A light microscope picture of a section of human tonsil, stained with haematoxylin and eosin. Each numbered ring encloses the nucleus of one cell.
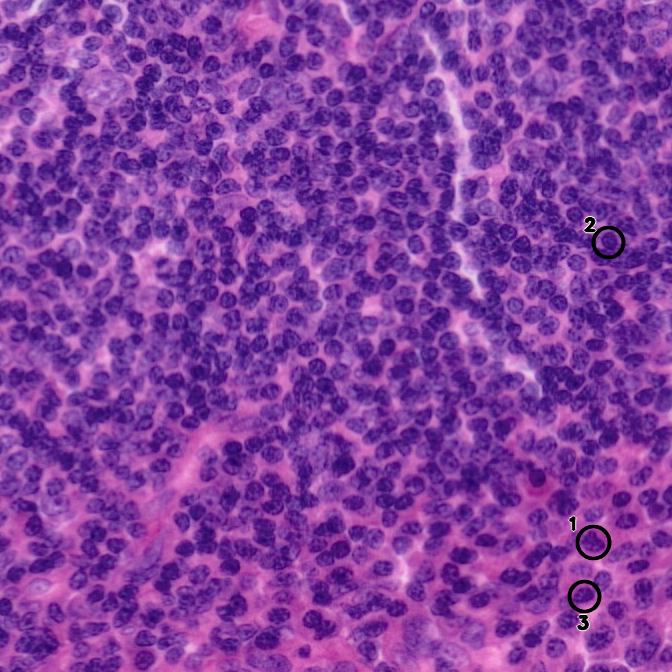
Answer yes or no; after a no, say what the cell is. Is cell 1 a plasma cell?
Yes.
